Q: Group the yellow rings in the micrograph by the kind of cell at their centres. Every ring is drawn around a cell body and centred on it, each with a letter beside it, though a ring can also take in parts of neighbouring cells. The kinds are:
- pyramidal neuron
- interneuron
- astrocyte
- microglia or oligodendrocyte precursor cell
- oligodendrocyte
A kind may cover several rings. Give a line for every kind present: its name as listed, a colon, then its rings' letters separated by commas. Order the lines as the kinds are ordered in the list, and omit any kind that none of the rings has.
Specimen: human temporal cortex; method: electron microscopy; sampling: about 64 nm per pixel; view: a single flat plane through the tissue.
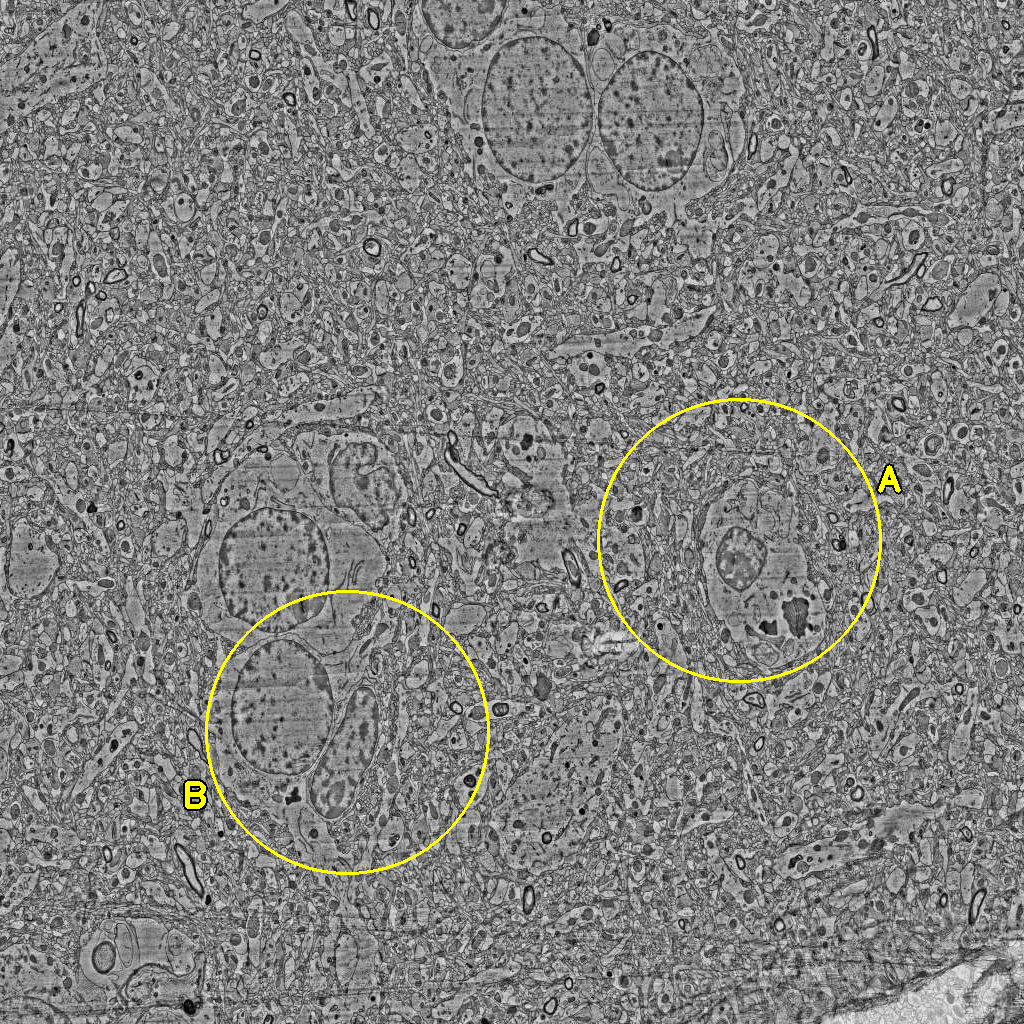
astrocyte: A
microglia or oligodendrocyte precursor cell: B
